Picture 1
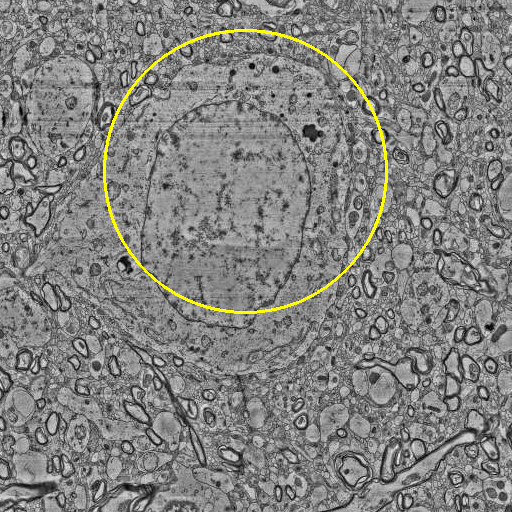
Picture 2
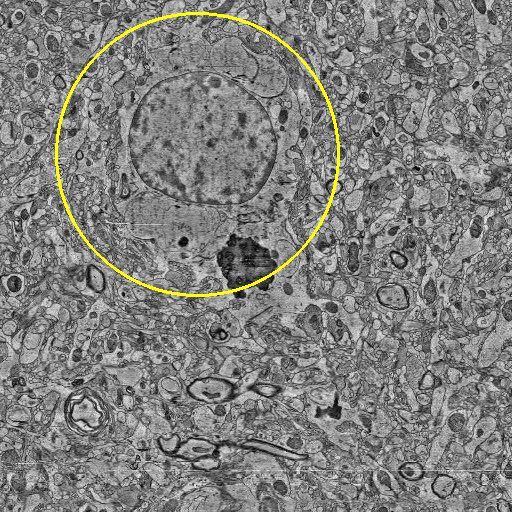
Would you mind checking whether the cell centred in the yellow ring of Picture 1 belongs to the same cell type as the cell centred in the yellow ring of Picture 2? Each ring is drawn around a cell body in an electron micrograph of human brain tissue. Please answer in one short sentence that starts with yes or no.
No, the two cells are of two types.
